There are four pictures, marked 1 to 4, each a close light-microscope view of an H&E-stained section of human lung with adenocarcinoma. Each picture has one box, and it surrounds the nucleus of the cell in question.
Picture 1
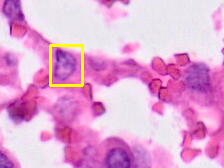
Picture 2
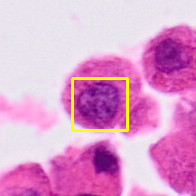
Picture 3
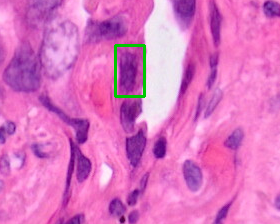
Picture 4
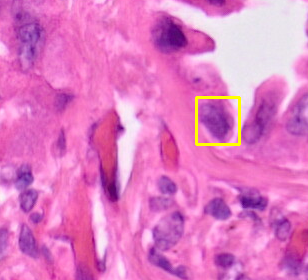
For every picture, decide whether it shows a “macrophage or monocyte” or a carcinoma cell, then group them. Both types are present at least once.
1: macrophage or monocyte
2: carcinoma cell
3: carcinoma cell
4: carcinoma cell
